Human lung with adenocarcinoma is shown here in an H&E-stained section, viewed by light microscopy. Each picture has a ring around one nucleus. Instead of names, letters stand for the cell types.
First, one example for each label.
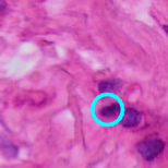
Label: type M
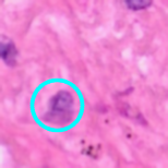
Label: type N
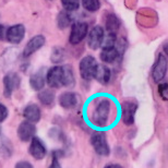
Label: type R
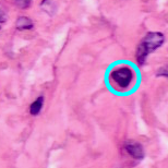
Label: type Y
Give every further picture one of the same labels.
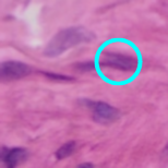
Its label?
type M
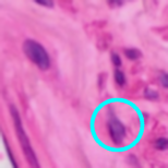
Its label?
type M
